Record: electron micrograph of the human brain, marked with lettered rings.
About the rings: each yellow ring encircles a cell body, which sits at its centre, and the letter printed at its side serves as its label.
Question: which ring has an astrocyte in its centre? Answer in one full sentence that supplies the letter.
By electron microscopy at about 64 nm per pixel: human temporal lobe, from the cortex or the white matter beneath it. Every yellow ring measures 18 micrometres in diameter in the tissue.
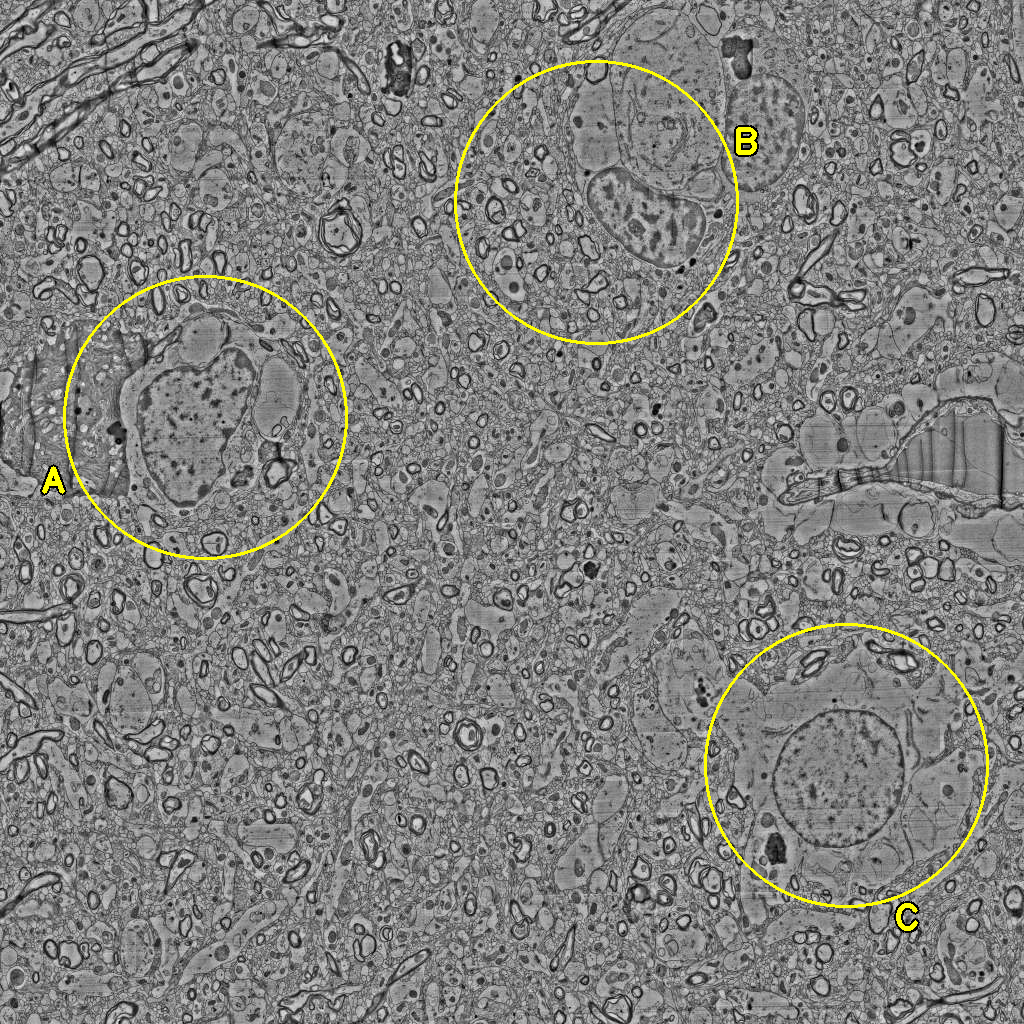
Within the picture, a cell of that kind is centred inside the ring marked C.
